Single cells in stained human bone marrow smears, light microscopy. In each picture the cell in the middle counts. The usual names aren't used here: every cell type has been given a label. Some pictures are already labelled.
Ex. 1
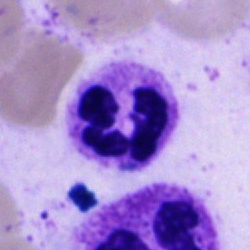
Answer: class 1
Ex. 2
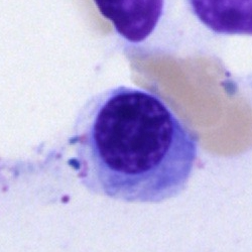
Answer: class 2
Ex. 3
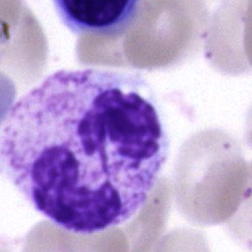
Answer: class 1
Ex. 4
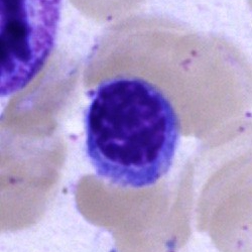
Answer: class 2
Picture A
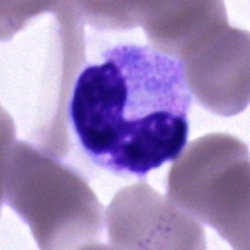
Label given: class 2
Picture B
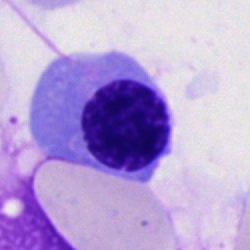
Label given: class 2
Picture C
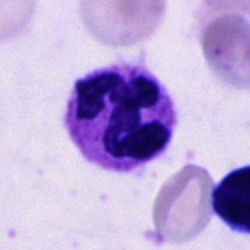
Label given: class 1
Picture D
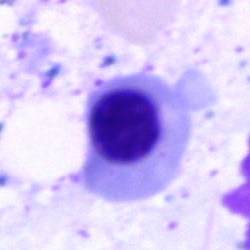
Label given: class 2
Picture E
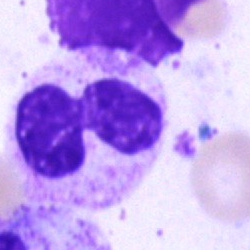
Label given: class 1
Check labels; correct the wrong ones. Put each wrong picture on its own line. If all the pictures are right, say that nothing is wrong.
A should be class 1, not class 2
